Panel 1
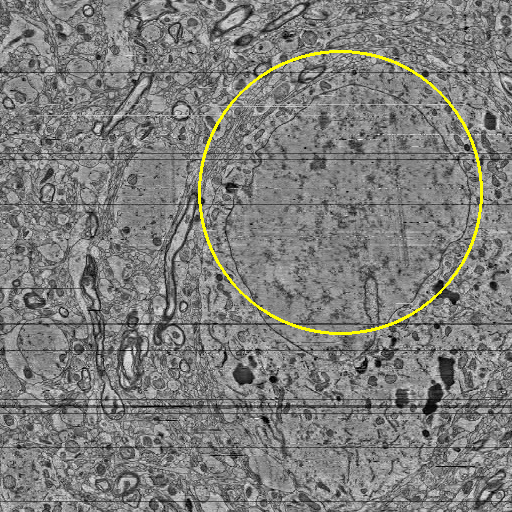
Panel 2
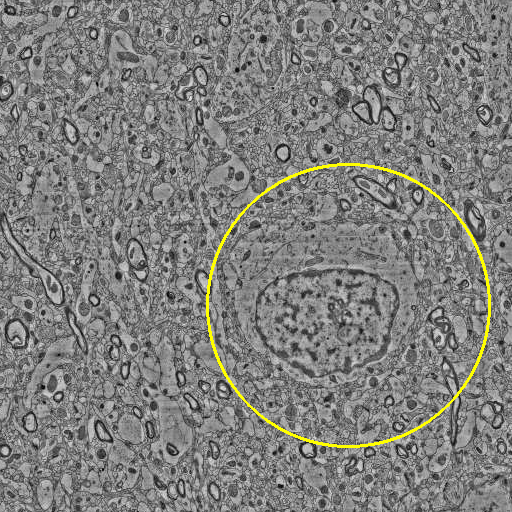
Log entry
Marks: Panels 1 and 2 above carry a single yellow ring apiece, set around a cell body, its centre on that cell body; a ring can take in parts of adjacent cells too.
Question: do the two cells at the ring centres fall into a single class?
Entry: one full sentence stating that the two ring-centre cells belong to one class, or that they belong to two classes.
The two ring-centre cells in Panels 1 and 2 belong to two classes.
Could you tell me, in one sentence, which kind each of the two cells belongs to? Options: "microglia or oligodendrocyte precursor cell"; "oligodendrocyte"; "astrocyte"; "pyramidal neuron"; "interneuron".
At the centre of the first ring sits a pyramidal neuron, and at the centre of the second sits a microglial cell or oligodendrocyte precursor cell.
